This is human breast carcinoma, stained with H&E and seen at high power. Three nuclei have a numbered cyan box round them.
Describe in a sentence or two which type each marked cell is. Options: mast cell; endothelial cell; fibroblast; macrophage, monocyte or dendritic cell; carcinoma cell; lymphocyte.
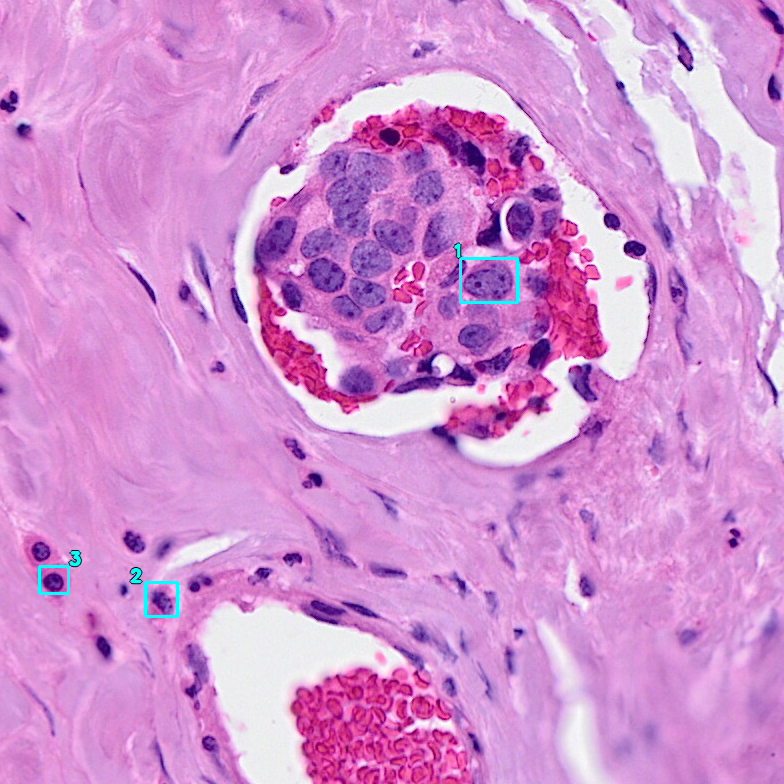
Cell 1 is a carcinoma cell. Cells 2 and 3 are mast cells.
